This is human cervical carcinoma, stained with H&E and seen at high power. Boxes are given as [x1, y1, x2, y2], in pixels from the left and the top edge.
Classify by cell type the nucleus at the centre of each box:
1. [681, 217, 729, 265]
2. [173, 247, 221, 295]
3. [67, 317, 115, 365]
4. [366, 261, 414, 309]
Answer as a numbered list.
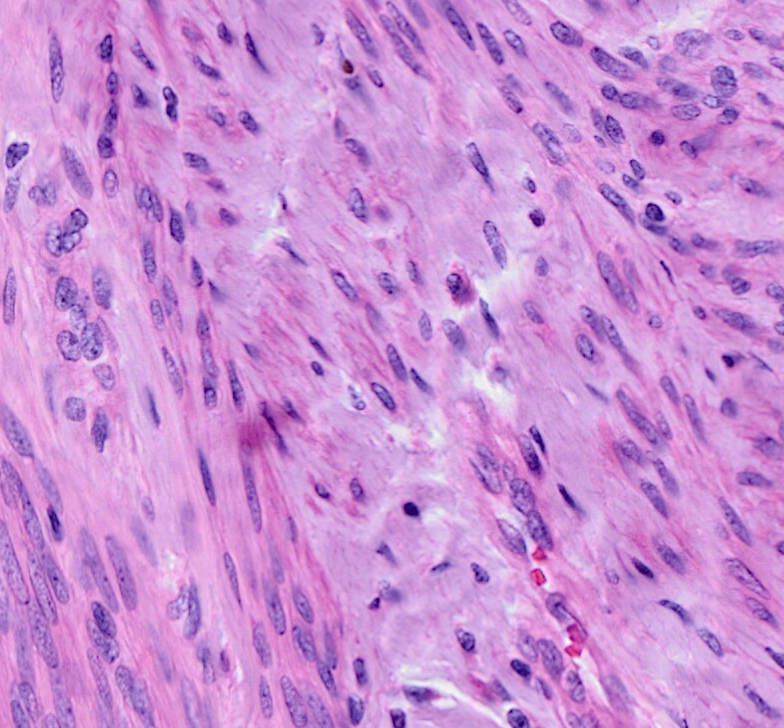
1. smooth muscle cell
2. smooth muscle cell
3. endothelial cell
4. smooth muscle cell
